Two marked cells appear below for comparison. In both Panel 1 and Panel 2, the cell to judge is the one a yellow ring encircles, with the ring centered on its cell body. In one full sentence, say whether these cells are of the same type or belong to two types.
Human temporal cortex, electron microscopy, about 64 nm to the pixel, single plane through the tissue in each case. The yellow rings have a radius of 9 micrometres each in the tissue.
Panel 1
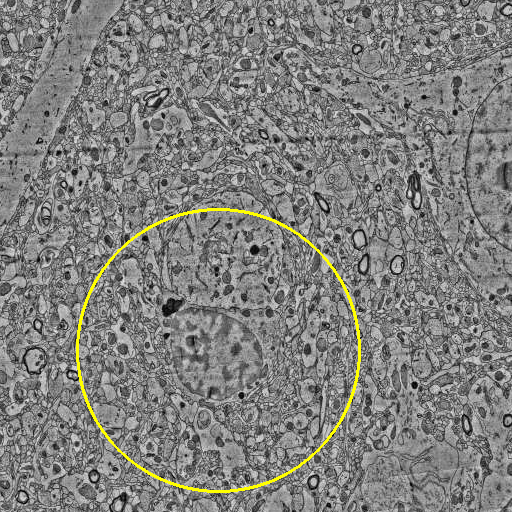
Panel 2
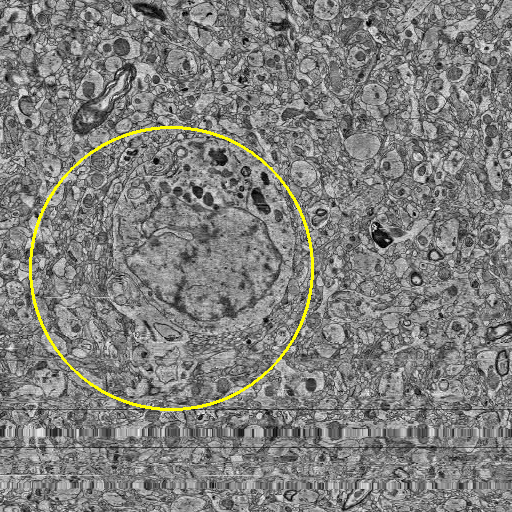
The cell centered in the Panel 1 ring and the one in Panel 2 belong to two types.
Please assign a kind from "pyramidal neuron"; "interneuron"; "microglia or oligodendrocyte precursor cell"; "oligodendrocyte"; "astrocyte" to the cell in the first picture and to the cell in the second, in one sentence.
In the first picture we have an oligodendrocyte, and in the second, an interneuron.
